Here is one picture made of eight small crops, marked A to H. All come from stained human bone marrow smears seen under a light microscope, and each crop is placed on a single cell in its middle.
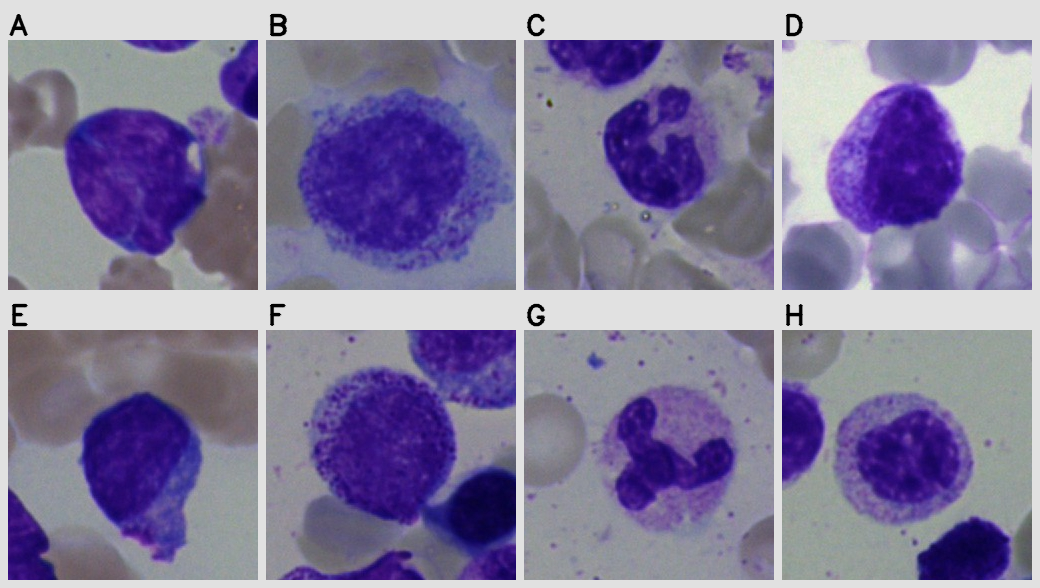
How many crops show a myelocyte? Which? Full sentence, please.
Of the crops given, four contain myelocytes, and these are B, D, F and H.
